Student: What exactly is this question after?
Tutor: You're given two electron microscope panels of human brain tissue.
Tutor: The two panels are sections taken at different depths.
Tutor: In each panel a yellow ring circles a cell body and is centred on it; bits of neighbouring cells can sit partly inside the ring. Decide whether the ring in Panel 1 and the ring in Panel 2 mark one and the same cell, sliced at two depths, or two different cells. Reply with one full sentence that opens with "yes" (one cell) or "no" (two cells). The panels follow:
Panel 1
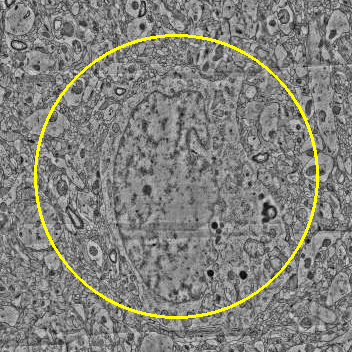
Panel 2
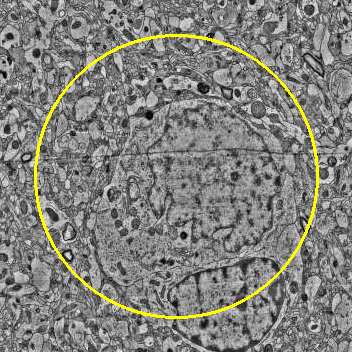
No, the two rings in this image mark separate cells.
